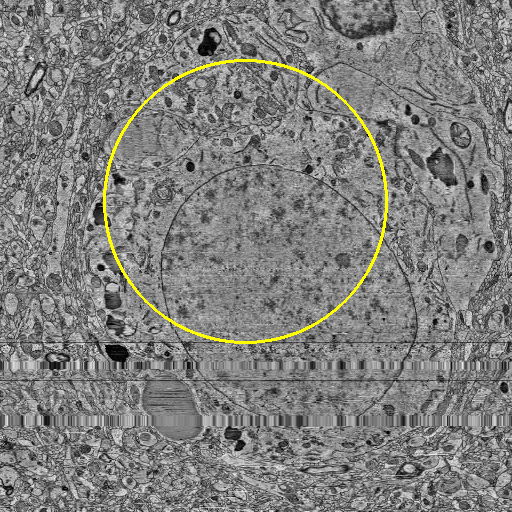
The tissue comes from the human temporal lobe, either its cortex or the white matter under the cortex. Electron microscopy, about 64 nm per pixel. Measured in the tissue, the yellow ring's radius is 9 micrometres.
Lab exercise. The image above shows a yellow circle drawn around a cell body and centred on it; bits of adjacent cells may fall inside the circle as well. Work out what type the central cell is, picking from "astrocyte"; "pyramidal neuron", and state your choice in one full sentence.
In the image above, the cell at the centre of the yellow circle is a pyramidal neuron.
